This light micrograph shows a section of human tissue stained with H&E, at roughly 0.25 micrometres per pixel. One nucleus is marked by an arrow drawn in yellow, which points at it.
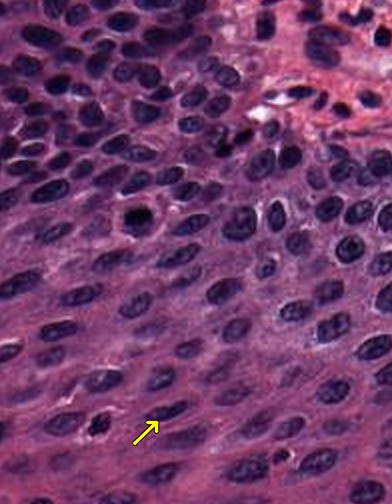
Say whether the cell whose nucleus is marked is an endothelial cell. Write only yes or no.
no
